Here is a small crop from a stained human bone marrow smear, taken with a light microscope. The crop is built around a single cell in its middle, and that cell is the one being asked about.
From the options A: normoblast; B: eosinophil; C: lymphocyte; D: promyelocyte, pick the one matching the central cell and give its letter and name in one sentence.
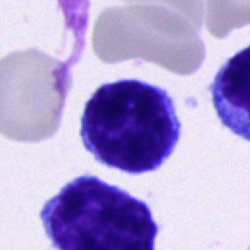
The cell positioned centrally is a lymphocyte, as given in option C, which is correct.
